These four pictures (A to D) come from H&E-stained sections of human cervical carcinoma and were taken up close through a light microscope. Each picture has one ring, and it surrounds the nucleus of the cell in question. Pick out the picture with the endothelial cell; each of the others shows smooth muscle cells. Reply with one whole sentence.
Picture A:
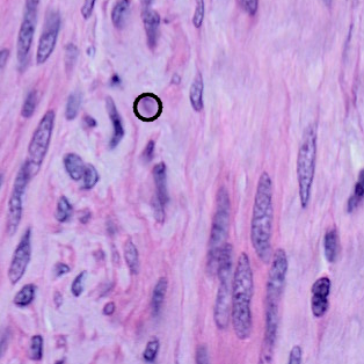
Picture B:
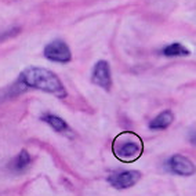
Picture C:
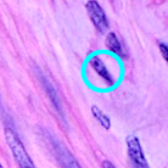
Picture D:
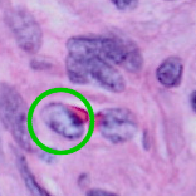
Picture D shows the endothelial cell.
